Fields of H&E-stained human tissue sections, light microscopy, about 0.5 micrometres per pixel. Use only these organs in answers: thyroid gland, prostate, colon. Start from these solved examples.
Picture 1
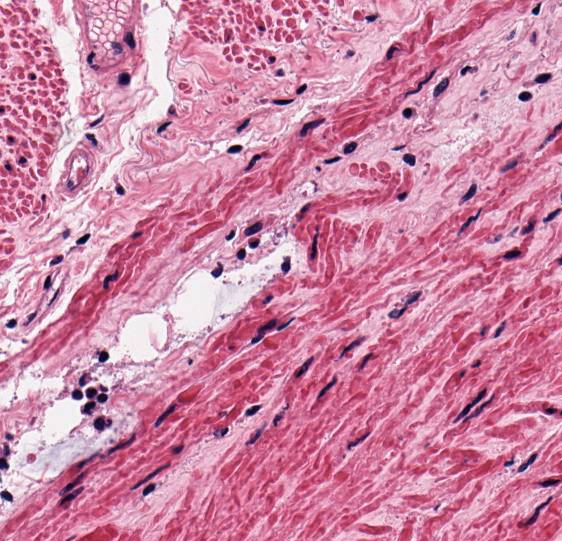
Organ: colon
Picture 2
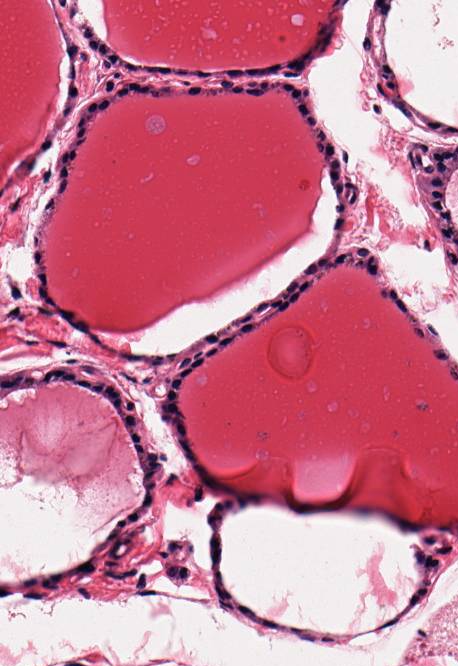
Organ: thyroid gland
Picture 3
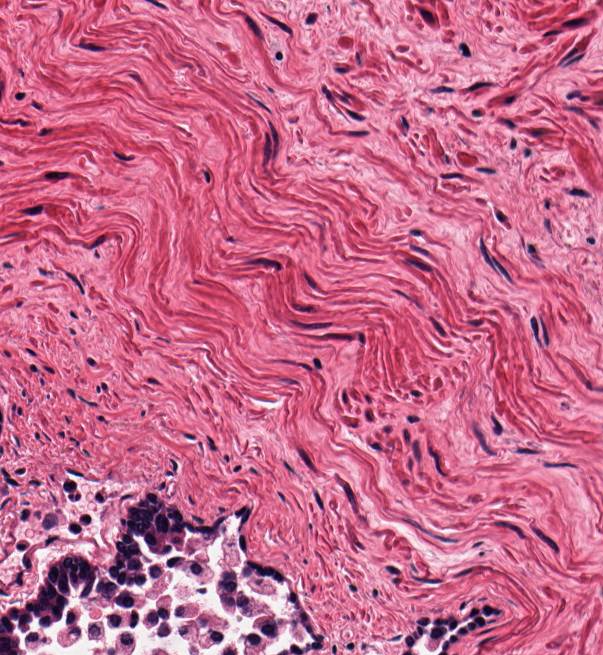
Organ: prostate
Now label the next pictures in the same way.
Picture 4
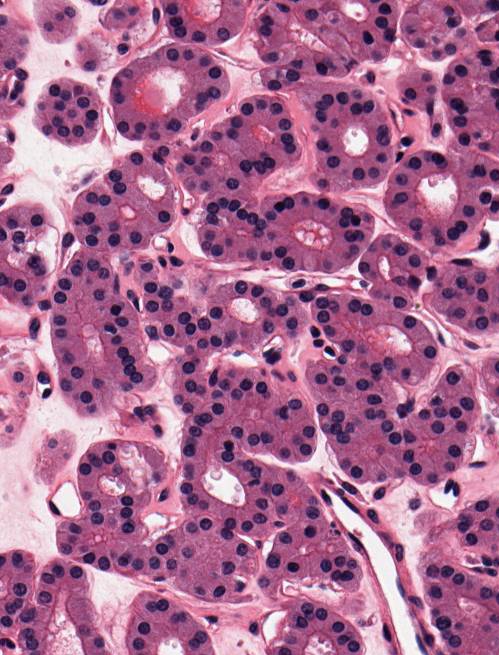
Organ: thyroid gland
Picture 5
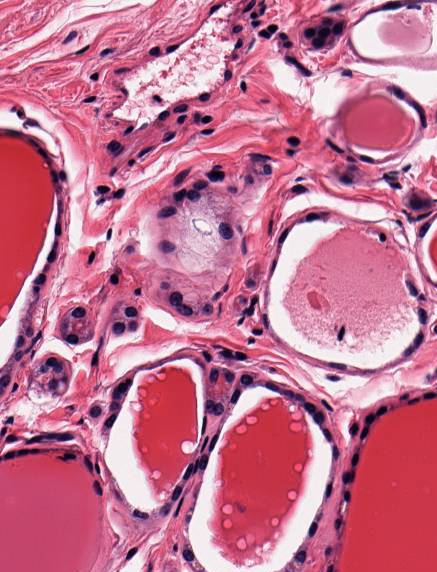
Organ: thyroid gland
